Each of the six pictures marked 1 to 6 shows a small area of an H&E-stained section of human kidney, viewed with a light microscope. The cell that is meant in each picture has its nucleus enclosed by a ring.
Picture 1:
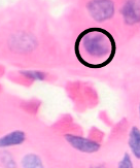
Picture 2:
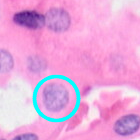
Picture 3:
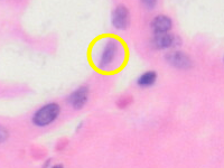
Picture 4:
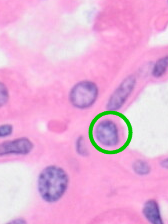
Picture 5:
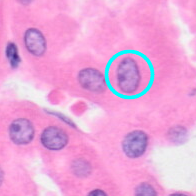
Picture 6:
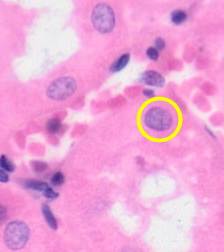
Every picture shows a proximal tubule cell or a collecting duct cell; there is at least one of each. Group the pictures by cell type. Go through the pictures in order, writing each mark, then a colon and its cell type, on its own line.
1: proximal tubule cell
2: collecting duct cell
3: collecting duct cell
4: collecting duct cell
5: proximal tubule cell
6: proximal tubule cell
